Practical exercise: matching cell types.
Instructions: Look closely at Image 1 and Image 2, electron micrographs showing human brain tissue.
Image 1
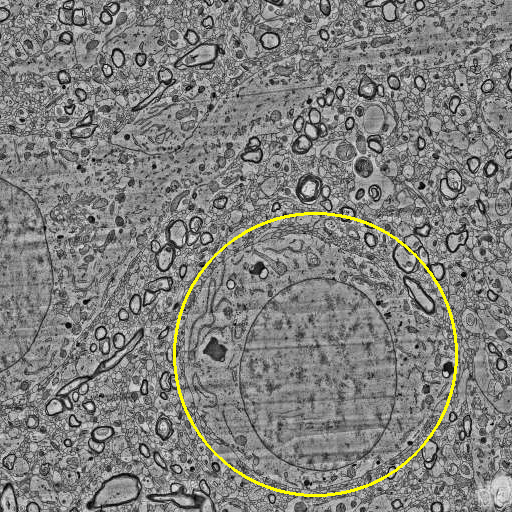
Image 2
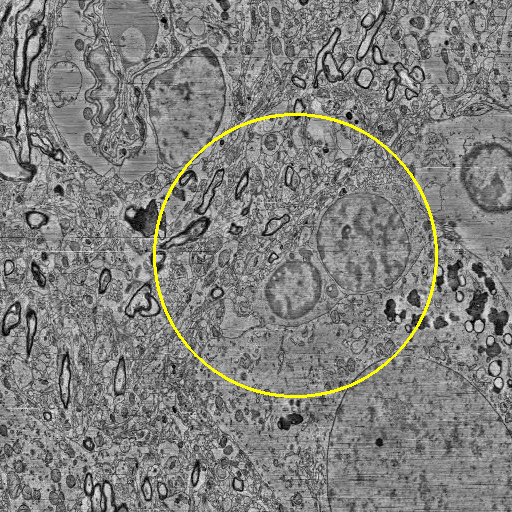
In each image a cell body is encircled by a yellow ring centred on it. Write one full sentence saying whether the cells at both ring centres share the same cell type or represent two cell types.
Across Image 1 and Image 2, the cells at the ring centres represent two cell types.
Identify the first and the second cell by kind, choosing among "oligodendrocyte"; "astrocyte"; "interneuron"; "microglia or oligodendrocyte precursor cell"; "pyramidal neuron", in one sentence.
The one in the first picture is a pyramidal neuron, while the one in the second is an oligodendrocyte.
